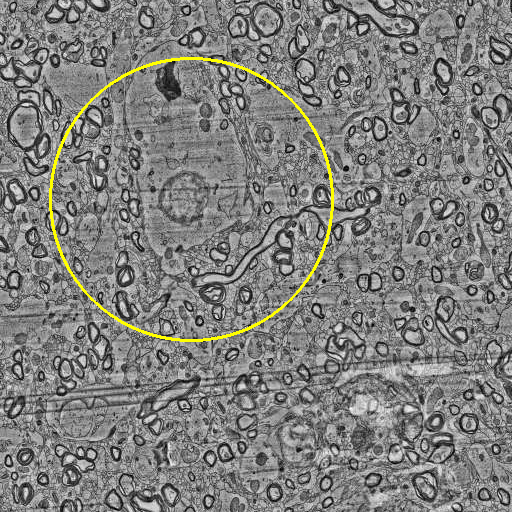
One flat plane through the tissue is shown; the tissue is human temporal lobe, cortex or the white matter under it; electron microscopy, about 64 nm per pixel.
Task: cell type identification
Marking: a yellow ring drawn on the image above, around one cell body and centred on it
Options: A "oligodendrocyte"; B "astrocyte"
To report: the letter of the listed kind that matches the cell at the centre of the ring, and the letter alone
B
